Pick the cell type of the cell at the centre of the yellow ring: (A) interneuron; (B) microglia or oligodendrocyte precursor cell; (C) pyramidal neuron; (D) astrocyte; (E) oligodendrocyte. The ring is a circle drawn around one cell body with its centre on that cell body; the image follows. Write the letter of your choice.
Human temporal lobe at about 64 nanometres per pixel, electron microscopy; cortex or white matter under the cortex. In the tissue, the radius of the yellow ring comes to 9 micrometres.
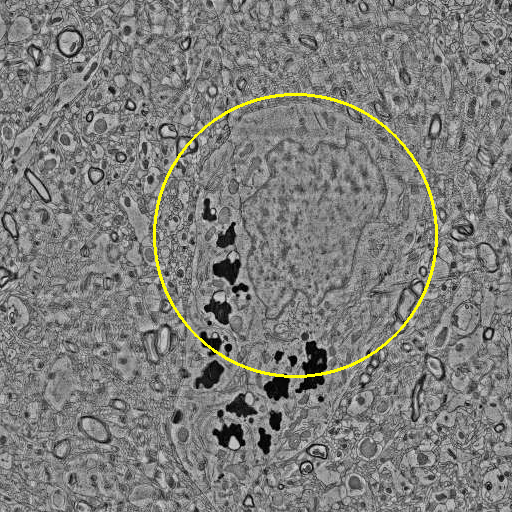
A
